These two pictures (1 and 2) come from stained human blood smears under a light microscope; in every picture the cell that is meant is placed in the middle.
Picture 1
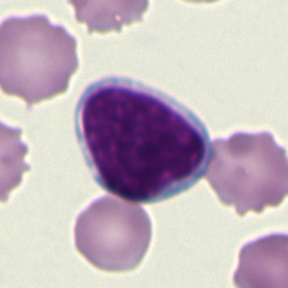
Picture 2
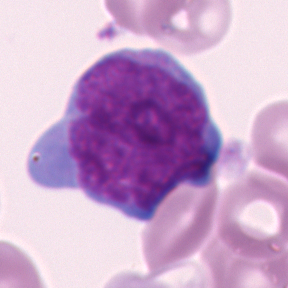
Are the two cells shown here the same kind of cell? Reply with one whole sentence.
No. Picture 1 shows a typical lymphocyte, but picture 2 shows a myeloblast.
